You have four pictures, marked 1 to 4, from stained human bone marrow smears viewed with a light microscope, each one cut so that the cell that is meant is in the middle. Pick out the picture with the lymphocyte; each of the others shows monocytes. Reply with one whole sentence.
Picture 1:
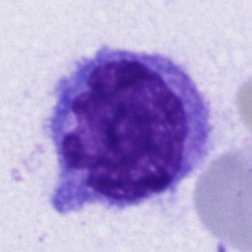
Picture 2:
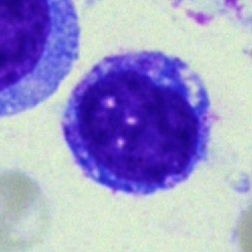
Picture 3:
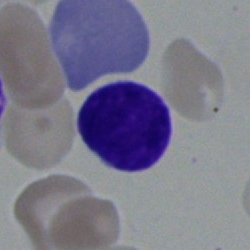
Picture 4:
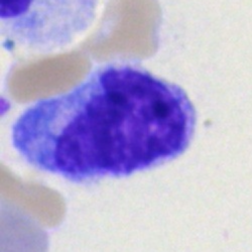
The cell in picture 3 is the lymphocyte.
